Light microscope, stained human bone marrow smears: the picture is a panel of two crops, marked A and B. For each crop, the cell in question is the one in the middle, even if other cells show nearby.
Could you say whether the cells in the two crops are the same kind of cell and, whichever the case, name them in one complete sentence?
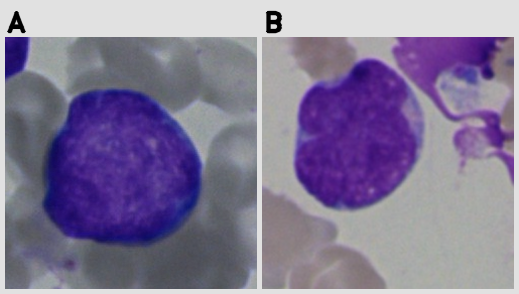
Yes, both crops have blasts as their central cells.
